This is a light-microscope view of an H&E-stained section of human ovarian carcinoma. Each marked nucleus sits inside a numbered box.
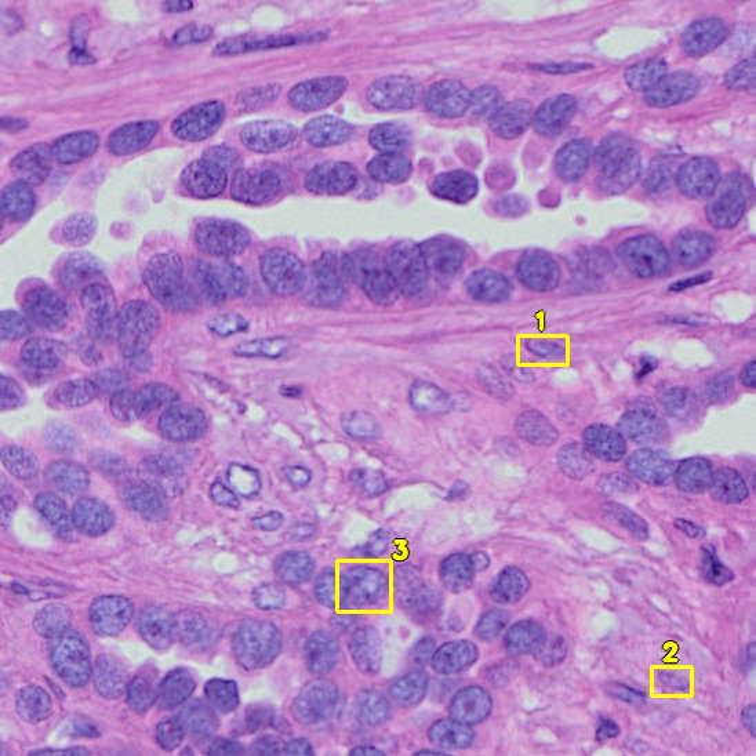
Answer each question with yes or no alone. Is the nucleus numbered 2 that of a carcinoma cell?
no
